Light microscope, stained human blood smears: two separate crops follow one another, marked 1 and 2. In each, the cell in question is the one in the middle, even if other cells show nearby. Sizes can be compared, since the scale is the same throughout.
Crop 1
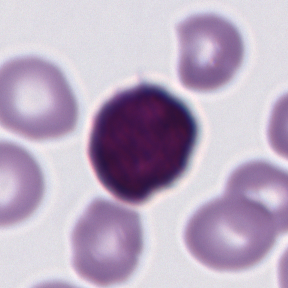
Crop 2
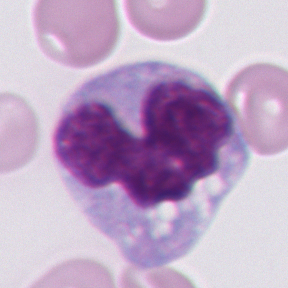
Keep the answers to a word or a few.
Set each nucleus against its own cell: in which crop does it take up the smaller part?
2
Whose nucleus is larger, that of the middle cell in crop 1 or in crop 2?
2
